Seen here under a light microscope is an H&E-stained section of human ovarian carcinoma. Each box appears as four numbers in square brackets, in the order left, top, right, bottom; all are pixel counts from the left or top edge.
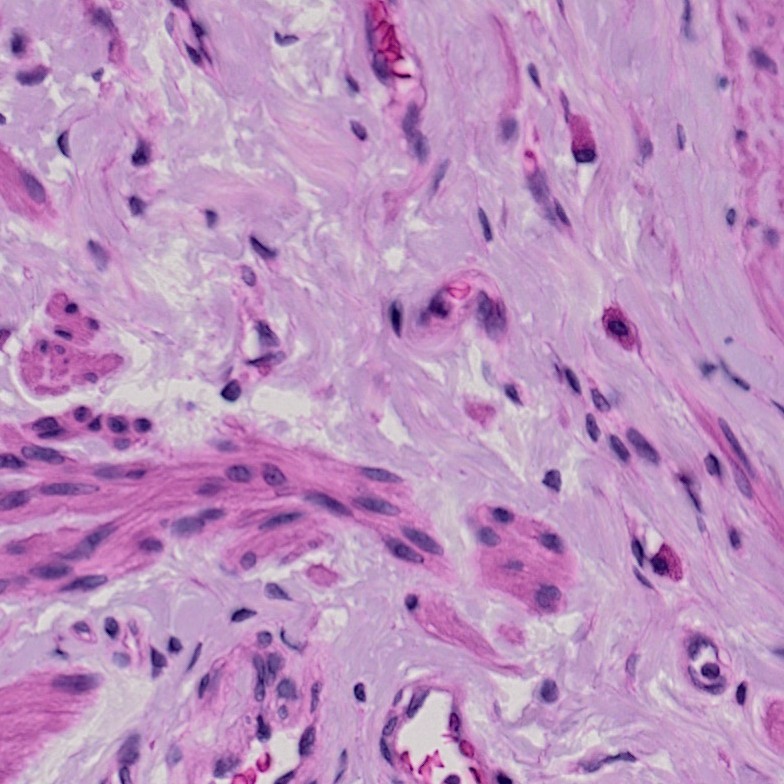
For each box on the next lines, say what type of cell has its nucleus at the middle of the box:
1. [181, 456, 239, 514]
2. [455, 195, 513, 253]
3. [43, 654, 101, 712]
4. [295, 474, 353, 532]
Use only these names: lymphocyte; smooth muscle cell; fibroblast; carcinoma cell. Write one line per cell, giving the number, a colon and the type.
1: smooth muscle cell
2: fibroblast
3: smooth muscle cell
4: smooth muscle cell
